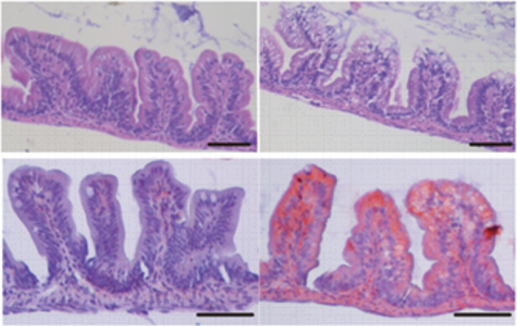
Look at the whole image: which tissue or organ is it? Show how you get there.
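Intestinal. Finger-like folds project from a thin wall. The folds are lined by a single layer of tall columnar epithelium.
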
